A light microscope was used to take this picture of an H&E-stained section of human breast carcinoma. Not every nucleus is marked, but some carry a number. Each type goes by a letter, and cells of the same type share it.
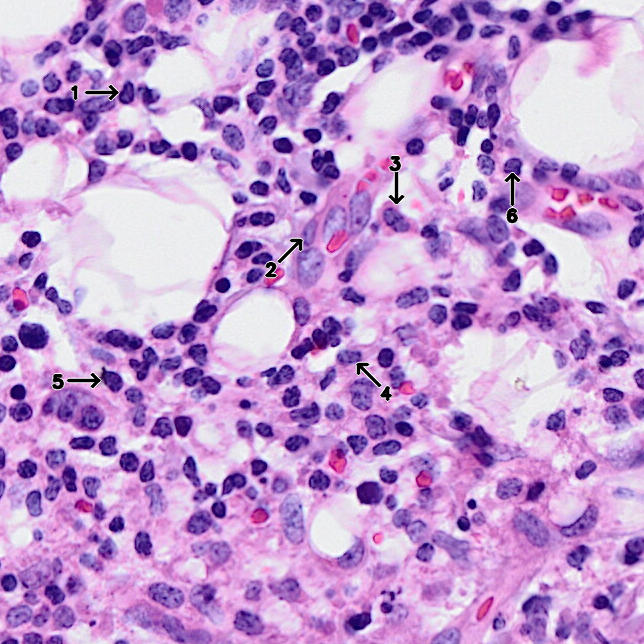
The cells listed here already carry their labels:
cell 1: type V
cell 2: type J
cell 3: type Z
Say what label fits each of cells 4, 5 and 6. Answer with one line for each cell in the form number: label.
4: type V
5: type V
6: type V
